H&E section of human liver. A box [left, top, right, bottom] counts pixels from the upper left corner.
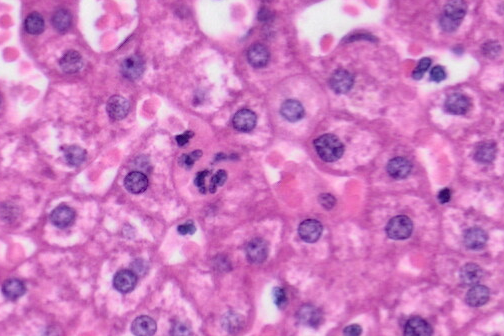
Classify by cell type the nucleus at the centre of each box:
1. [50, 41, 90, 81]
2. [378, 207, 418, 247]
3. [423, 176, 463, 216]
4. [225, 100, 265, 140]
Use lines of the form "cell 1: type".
cell 1: hepatocyte
cell 2: hepatocyte
cell 3: fibroblast or stellate cell
cell 4: hepatocyte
